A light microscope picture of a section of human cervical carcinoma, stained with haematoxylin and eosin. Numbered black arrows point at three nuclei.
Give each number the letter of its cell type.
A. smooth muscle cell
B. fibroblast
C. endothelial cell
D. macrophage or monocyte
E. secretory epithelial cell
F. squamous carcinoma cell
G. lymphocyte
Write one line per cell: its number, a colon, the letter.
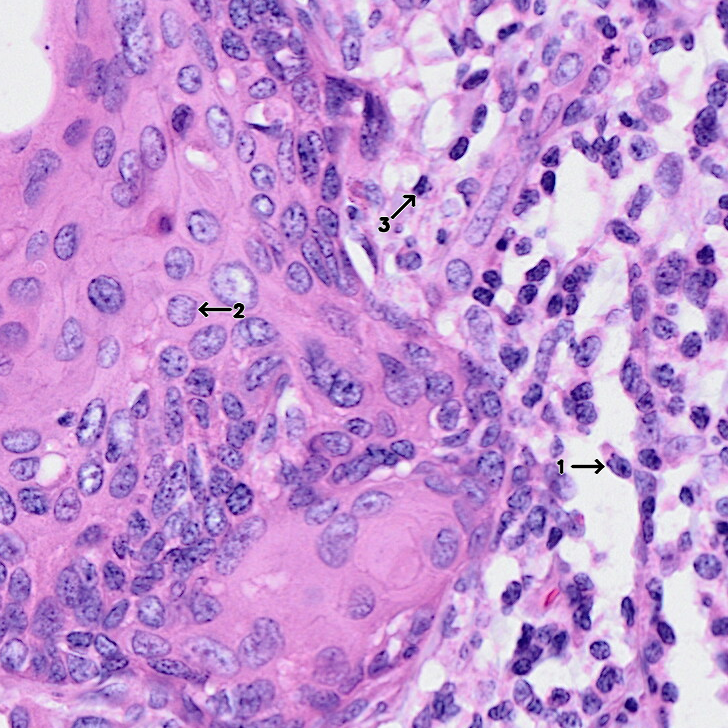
1: G
2: F
3: G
